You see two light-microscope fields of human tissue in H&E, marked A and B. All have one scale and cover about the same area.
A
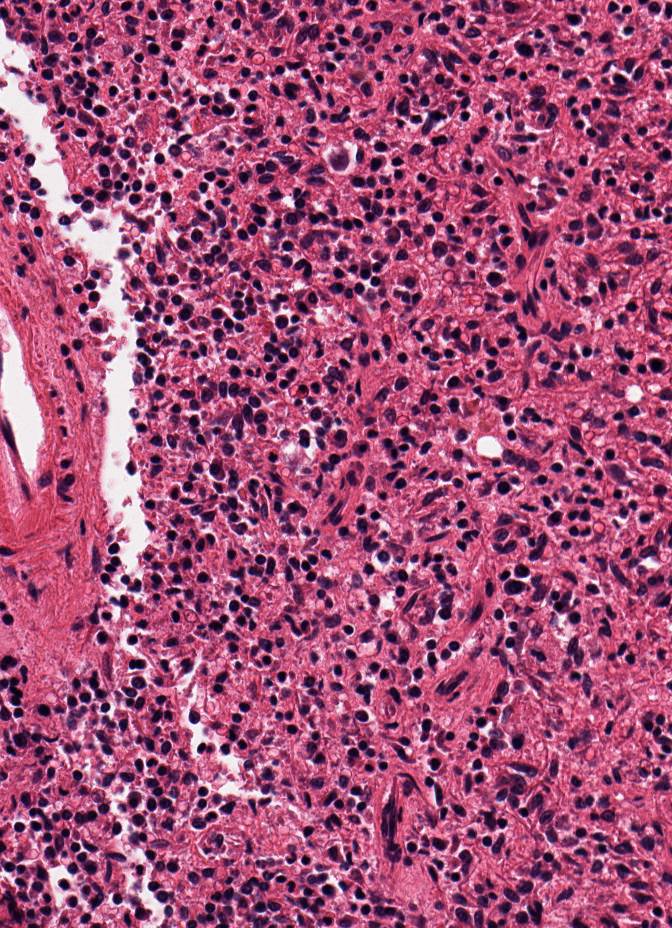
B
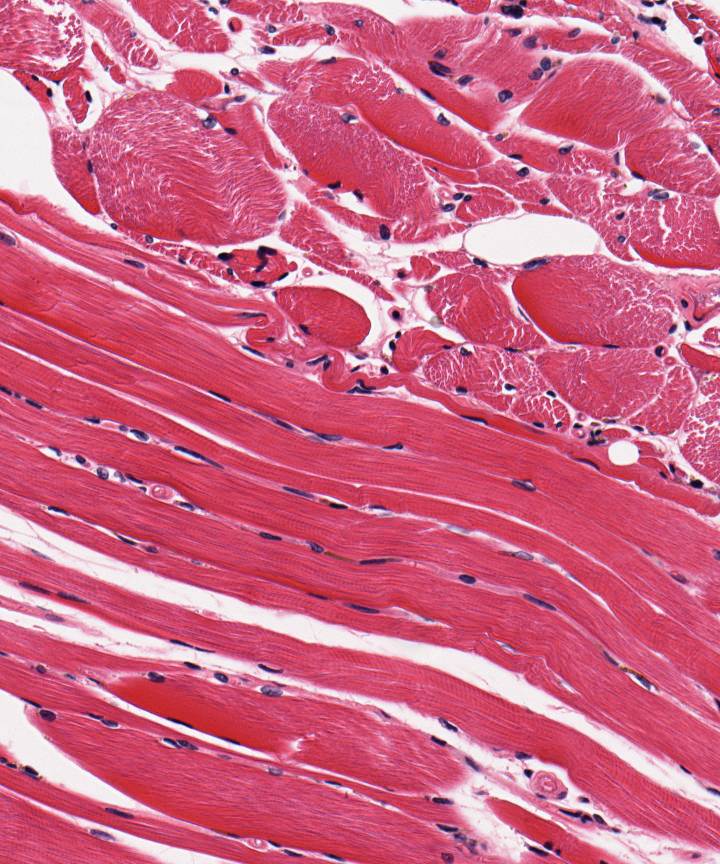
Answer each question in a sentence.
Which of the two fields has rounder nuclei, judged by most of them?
On the whole the nuclei of field A are rounder than those of field B.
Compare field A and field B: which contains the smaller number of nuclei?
It is field B that has fewer nuclei in it.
